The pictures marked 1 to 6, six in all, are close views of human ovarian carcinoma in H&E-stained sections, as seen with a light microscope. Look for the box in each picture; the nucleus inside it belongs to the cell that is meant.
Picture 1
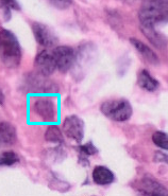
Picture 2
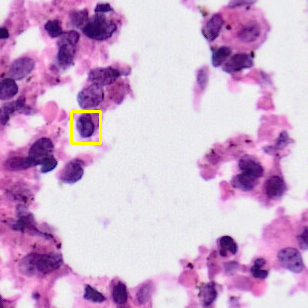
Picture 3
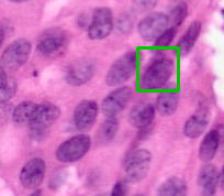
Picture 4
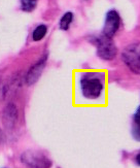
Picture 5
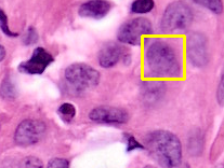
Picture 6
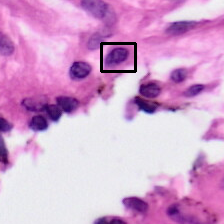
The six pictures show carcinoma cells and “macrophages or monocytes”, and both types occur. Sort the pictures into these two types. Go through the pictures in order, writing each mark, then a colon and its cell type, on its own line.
1: carcinoma cell
2: macrophage or monocyte
3: carcinoma cell
4: carcinoma cell
5: carcinoma cell
6: macrophage or monocyte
